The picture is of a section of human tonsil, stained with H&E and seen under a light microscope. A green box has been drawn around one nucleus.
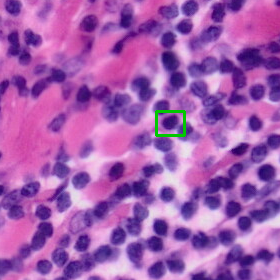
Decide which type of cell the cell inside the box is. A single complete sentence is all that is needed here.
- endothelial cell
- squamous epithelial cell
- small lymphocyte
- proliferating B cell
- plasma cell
Just put down that the cell inside the box is a small lymphocyte.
